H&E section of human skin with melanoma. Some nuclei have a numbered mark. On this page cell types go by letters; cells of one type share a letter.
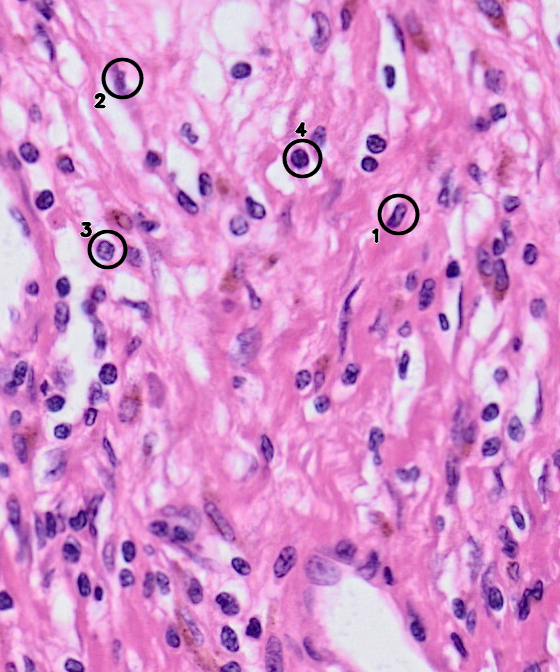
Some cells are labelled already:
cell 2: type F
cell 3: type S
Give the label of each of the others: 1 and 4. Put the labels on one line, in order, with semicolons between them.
type S; type S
